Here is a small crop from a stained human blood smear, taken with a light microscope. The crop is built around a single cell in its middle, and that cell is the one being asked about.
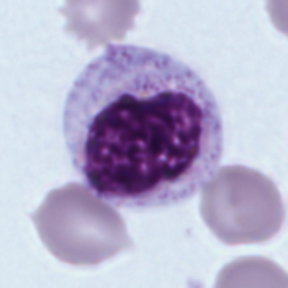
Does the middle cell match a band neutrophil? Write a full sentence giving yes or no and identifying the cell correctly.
No, instead of a band neutrophil, the middle cell is a metamyelocyte.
